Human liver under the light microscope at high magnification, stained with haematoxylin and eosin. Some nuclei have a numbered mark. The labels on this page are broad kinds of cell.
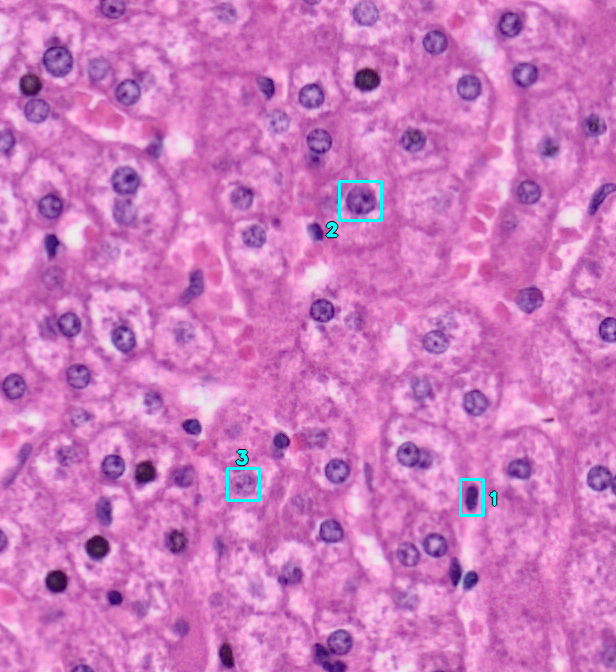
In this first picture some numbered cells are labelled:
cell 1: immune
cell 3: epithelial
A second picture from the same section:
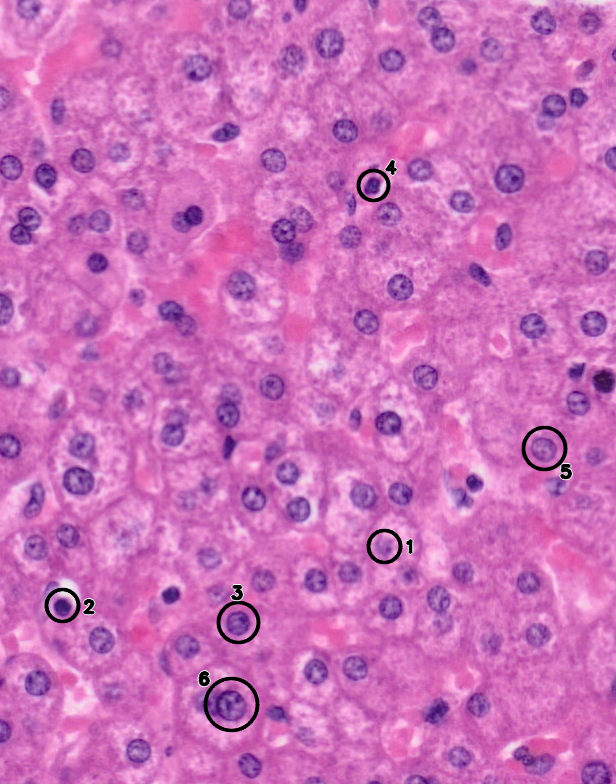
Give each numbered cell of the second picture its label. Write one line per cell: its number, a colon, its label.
1: epithelial
2: immune
3: epithelial
4: immune
5: epithelial
6: epithelial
